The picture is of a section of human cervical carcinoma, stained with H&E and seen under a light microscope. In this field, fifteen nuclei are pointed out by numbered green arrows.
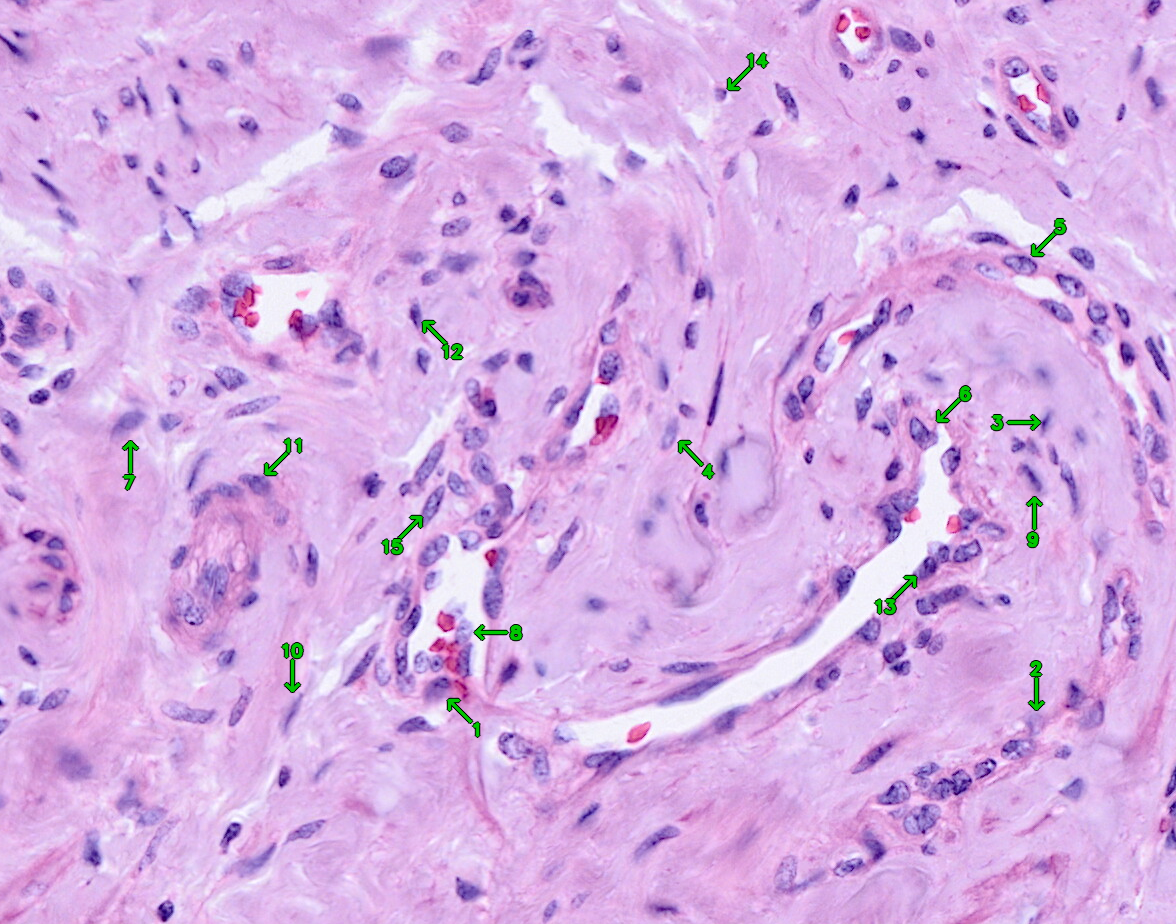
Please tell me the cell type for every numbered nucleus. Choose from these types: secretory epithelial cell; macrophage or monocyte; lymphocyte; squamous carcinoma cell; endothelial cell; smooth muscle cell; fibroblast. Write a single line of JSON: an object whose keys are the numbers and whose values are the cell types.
{"1": "endothelial cell", "2": "endothelial cell", "3": "fibroblast", "4": "fibroblast", "5": "endothelial cell", "6": "endothelial cell", "7": "fibroblast", "8": "endothelial cell", "9": "fibroblast", "10": "fibroblast", "11": "smooth muscle cell", "12": "fibroblast", "13": "endothelial cell", "14": "fibroblast", "15": "smooth muscle cell"}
